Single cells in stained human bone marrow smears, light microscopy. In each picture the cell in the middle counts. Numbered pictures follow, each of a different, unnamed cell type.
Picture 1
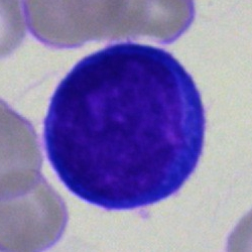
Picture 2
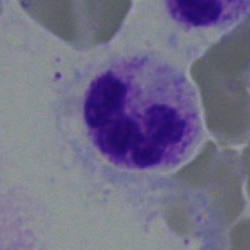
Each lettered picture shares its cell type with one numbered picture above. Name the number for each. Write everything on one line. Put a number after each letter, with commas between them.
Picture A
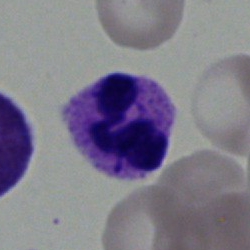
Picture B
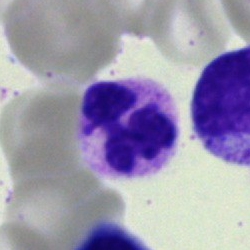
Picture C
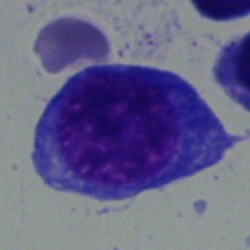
A 2, B 2, C 1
